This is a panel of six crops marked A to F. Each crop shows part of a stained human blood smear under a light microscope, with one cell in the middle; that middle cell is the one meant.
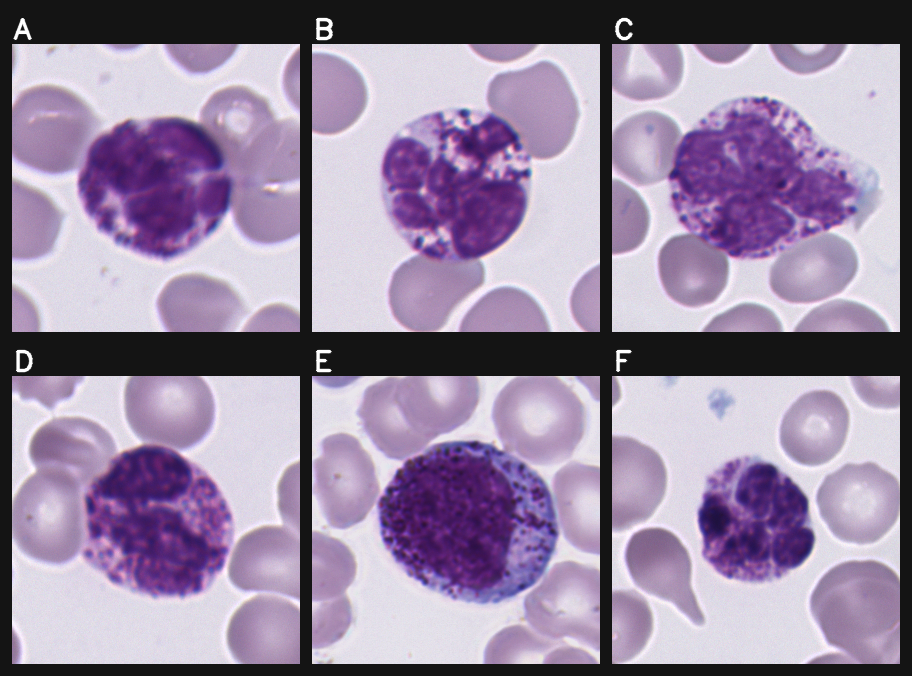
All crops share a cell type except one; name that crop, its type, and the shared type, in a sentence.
The crops all show basophils, with the exception of crop E, which shows a promyelocyte.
